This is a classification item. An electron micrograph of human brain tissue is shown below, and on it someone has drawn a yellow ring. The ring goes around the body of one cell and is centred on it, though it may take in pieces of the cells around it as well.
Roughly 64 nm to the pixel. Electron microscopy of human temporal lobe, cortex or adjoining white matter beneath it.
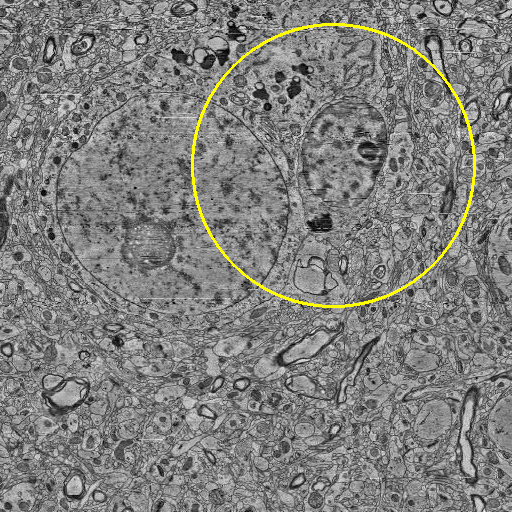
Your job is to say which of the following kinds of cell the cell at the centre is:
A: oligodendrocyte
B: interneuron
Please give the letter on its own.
A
